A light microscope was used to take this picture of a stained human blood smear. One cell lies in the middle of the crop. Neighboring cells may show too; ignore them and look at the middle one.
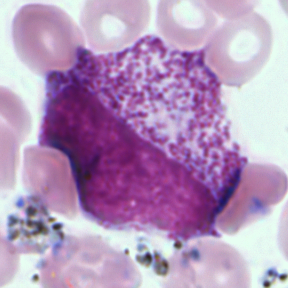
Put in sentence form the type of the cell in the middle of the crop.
The cell in the middle of this crop is a promyelocyte.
